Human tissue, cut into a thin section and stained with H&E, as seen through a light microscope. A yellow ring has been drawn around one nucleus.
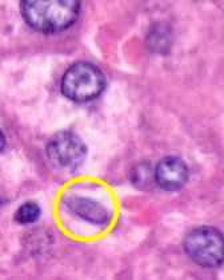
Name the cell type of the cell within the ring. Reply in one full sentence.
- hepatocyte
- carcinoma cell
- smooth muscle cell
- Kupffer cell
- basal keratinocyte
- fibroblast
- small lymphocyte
Labelled by cell type, the cell within the ring is a Kupffer cell.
